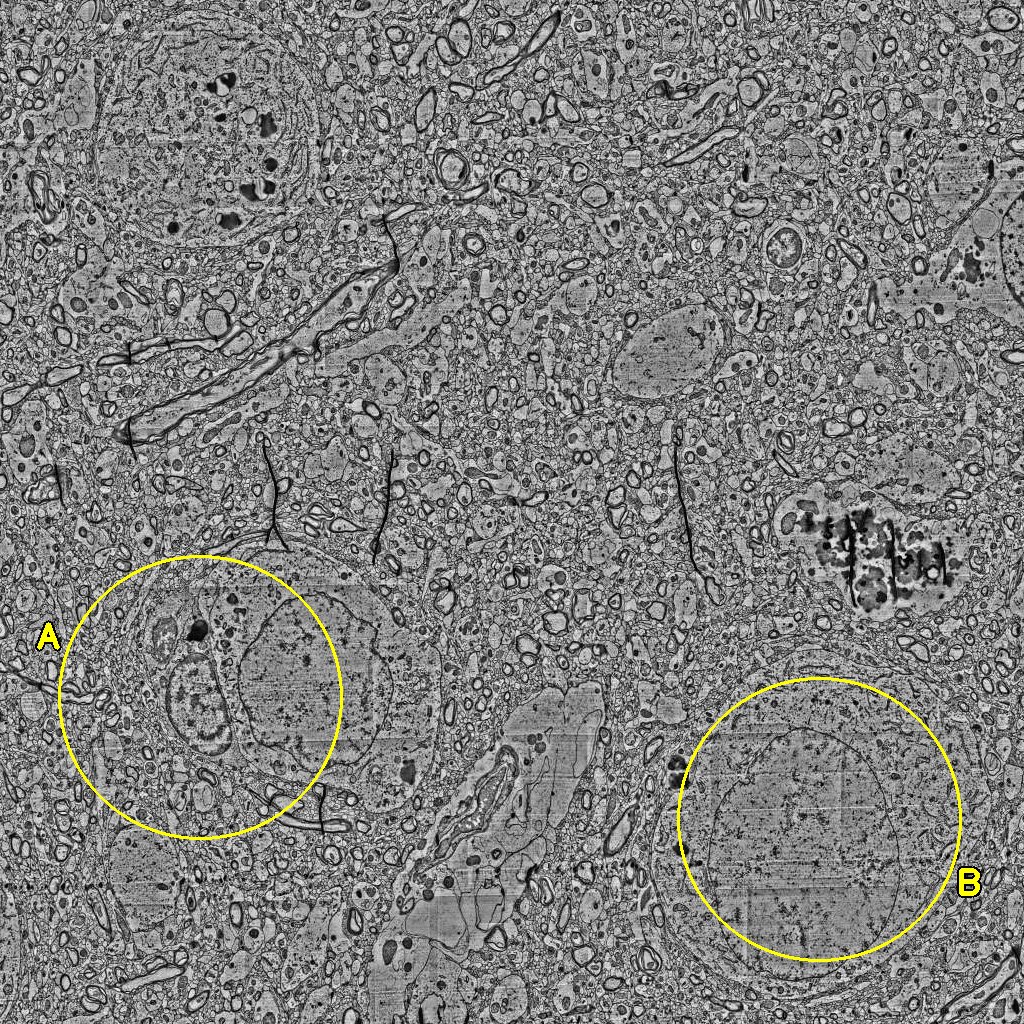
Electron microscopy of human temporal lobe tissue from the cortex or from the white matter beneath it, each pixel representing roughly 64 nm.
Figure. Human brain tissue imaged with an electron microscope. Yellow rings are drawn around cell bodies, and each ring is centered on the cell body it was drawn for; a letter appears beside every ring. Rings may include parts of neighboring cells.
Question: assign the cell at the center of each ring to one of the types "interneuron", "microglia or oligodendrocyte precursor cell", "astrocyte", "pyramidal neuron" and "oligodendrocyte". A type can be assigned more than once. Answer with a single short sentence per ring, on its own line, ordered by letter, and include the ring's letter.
Centered in ring A is an oligodendrocyte.
Centered in ring B is a pyramidal neuron.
